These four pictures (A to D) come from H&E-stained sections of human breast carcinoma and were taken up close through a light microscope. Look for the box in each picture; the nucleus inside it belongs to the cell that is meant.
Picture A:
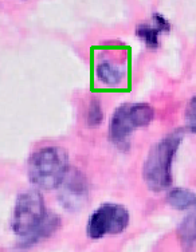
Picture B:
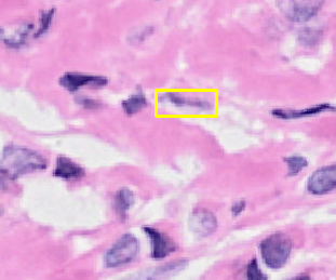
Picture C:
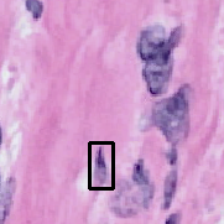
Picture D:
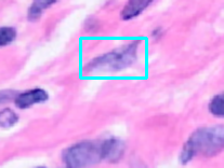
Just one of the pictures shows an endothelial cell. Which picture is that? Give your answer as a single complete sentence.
Picture A is the one that shows the endothelial cell.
